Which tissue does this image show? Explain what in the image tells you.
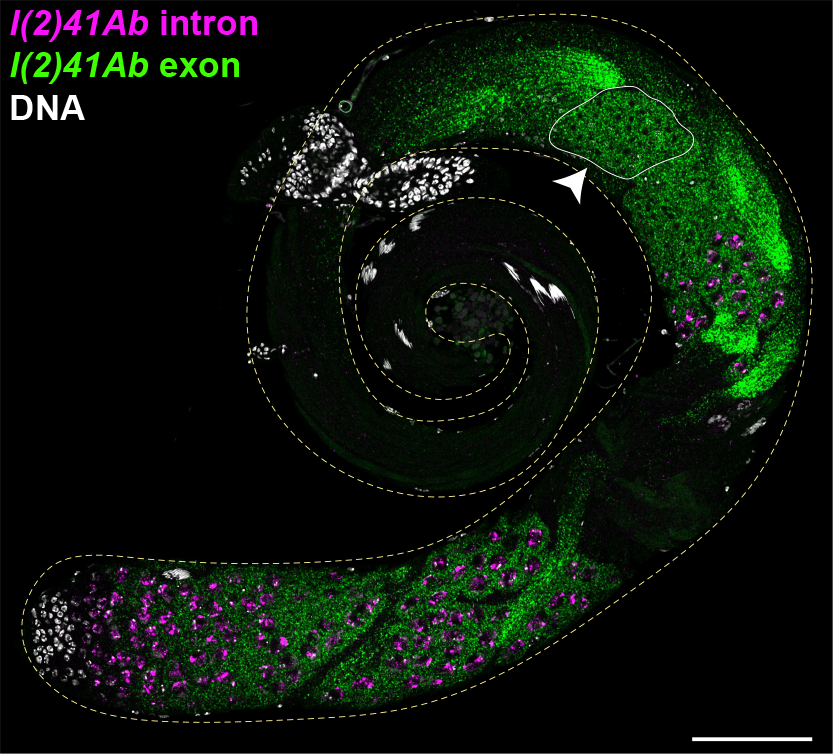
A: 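Whole testis. A long coiled tube outlined by a dashed line. One end is blunt and packed with small nuclei, the other coils inward.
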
